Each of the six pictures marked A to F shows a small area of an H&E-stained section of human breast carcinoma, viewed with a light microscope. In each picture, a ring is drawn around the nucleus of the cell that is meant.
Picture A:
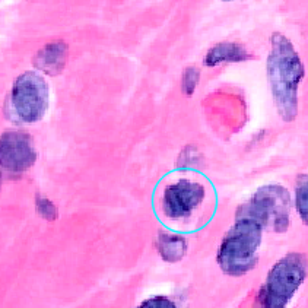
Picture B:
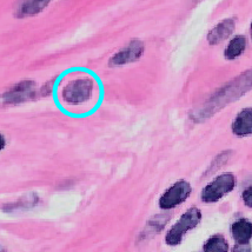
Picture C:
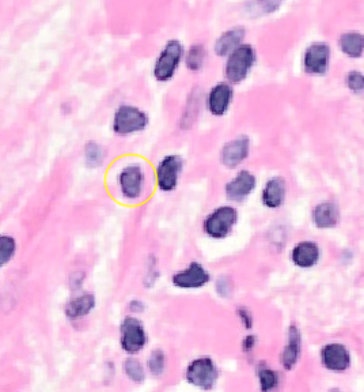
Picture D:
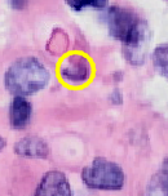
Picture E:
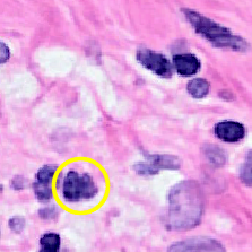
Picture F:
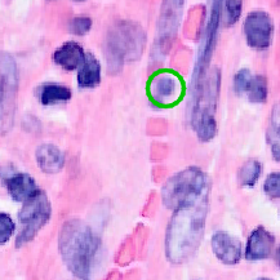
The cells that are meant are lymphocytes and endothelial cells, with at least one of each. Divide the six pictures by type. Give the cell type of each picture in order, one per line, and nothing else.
lymphocyte
lymphocyte
lymphocyte
endothelial cell
lymphocyte
endothelial cell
